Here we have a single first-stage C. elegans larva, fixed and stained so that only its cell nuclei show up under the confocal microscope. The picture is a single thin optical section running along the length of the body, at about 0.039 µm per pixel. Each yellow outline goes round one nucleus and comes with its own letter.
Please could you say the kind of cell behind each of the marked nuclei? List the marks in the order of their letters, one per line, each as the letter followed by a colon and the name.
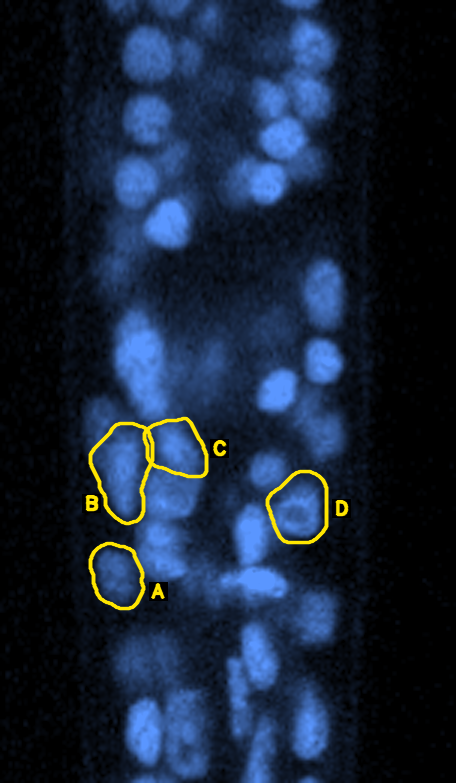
A: hypodermal cell (hyp)
B: neuron
C: neuron
D: pharyngeal muscle cell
